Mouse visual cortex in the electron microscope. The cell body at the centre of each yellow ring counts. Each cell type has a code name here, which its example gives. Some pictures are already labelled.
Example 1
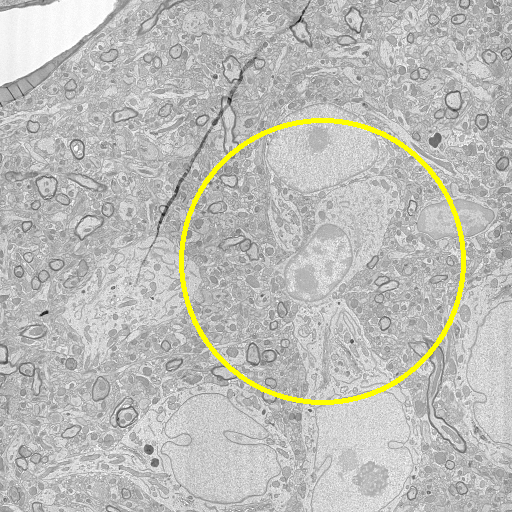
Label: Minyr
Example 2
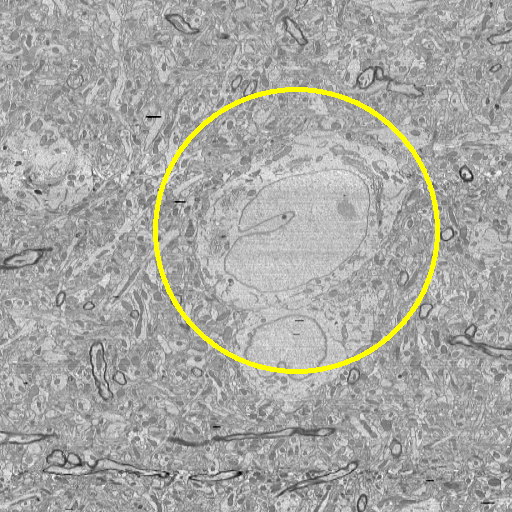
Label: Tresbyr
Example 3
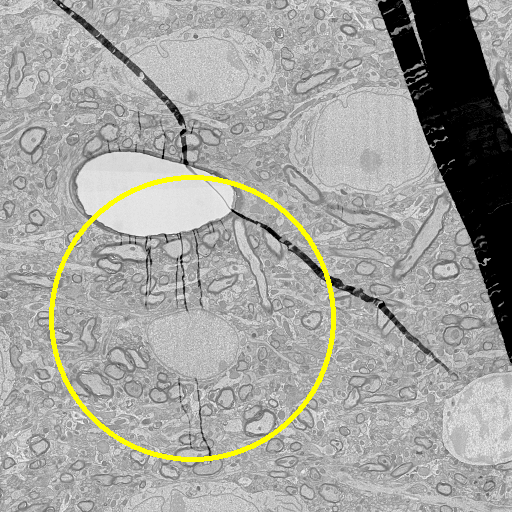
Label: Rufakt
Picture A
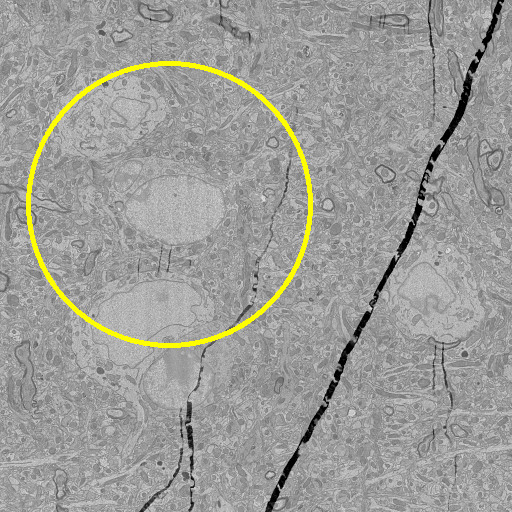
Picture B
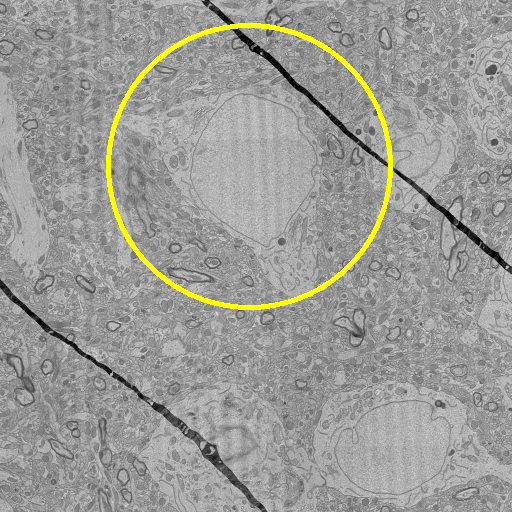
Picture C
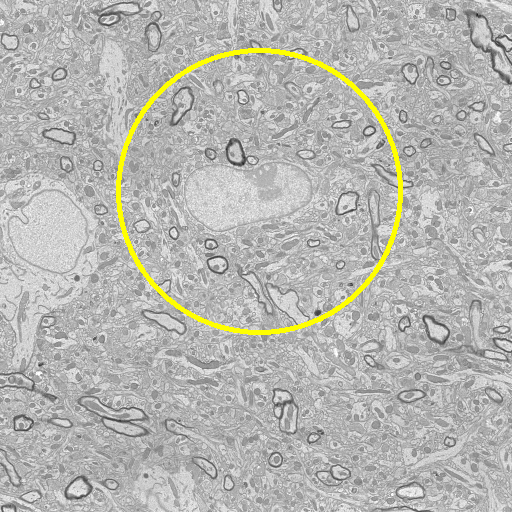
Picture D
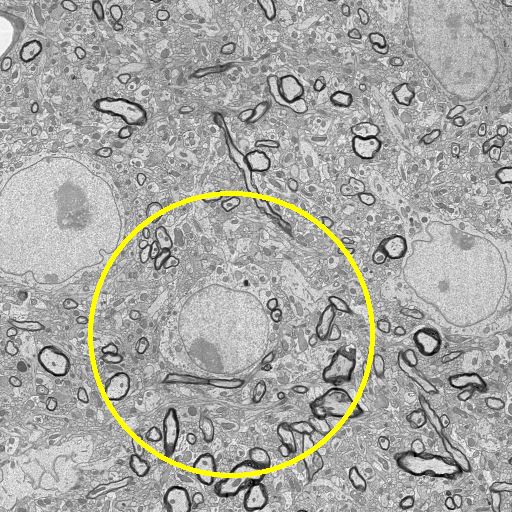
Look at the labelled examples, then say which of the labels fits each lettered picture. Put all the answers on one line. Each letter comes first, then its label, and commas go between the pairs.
A Rufakt, B Tresbyr, C Rufakt, D Rufakt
